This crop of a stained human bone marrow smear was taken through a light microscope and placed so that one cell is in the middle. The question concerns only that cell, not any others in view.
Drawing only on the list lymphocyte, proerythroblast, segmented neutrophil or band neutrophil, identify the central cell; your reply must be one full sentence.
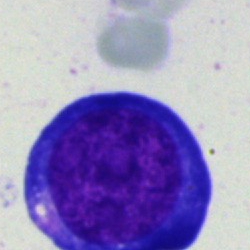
In this crop, the cell at the very middle is a proerythroblast.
